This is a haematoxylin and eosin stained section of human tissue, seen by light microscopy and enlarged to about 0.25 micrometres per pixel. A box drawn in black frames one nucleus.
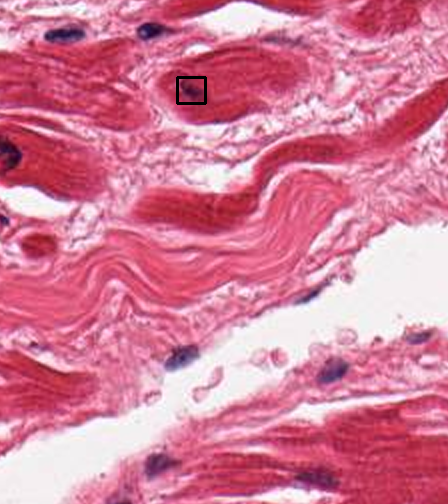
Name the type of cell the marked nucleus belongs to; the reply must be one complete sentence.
On this slide, the marked nucleus belongs to a cardiomyocyte.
